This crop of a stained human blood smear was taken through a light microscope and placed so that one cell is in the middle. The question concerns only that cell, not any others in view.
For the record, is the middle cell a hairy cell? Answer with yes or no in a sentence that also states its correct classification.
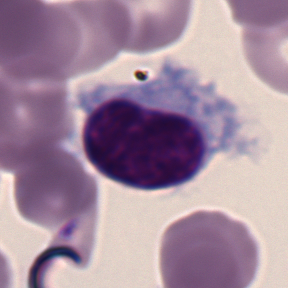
Yes, the cell at the center of the crop is a hairy cell.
